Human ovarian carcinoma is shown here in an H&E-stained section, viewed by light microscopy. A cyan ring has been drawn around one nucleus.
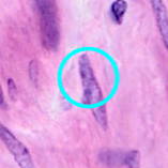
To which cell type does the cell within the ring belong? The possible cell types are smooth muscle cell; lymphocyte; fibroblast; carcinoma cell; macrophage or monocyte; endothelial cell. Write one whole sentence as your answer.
In this field of tissue, the cell within the ring is a smooth muscle cell.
